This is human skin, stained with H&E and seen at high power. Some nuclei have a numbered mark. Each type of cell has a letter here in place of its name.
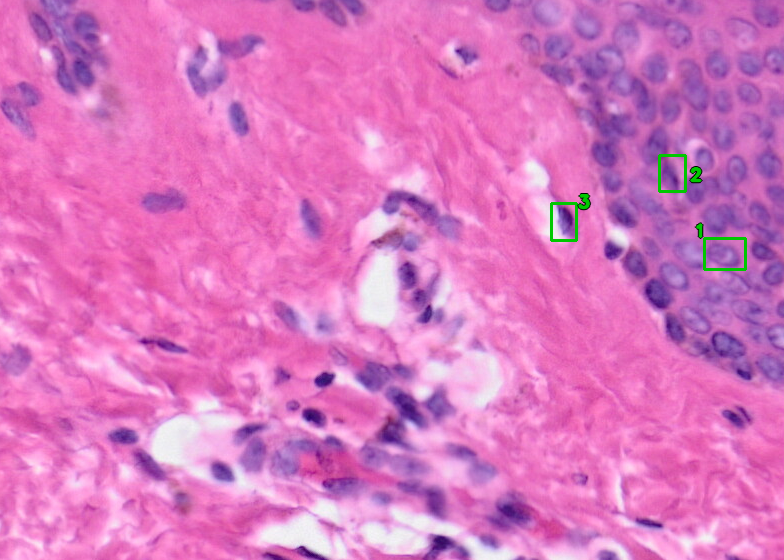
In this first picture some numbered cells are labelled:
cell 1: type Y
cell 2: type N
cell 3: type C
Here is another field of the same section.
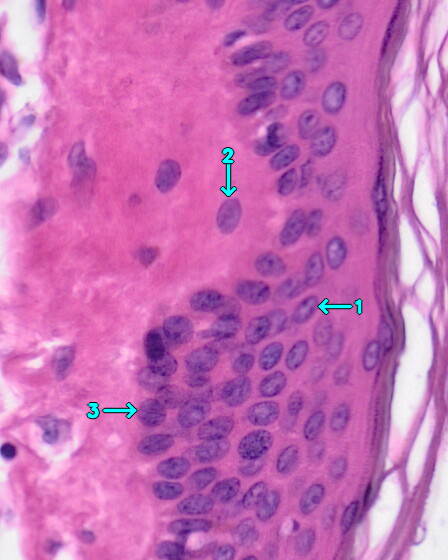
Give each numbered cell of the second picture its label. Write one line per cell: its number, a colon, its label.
1: type Y
2: type C
3: type N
